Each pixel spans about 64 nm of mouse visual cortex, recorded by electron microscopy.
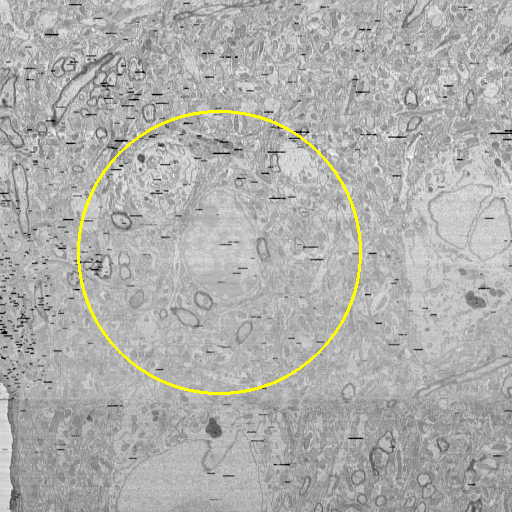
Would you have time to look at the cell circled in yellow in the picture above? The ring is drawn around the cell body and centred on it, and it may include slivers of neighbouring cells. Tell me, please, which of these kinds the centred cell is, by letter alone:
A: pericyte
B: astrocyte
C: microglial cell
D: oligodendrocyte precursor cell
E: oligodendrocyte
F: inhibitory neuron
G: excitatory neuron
E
